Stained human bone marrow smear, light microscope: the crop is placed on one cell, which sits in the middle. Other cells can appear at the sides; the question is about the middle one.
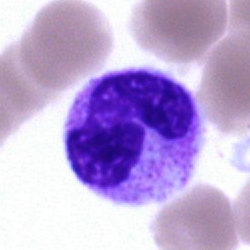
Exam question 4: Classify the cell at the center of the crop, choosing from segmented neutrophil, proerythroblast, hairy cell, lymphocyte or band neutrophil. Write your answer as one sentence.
Of the cells in this crop, the central one is a segmented neutrophil.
